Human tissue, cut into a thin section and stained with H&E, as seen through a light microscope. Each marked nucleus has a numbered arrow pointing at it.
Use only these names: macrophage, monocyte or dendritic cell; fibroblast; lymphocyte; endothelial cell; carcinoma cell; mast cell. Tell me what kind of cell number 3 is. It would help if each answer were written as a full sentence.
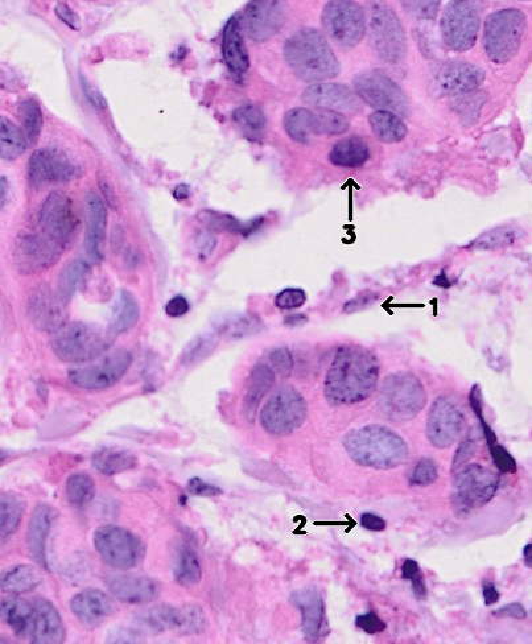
The cell identified by the number 3 is a carcinoma cell.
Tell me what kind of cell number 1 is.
What the number 1 marks in this field is a fibroblast.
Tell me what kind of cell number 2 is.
The cell given label 2 is a lymphocyte.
